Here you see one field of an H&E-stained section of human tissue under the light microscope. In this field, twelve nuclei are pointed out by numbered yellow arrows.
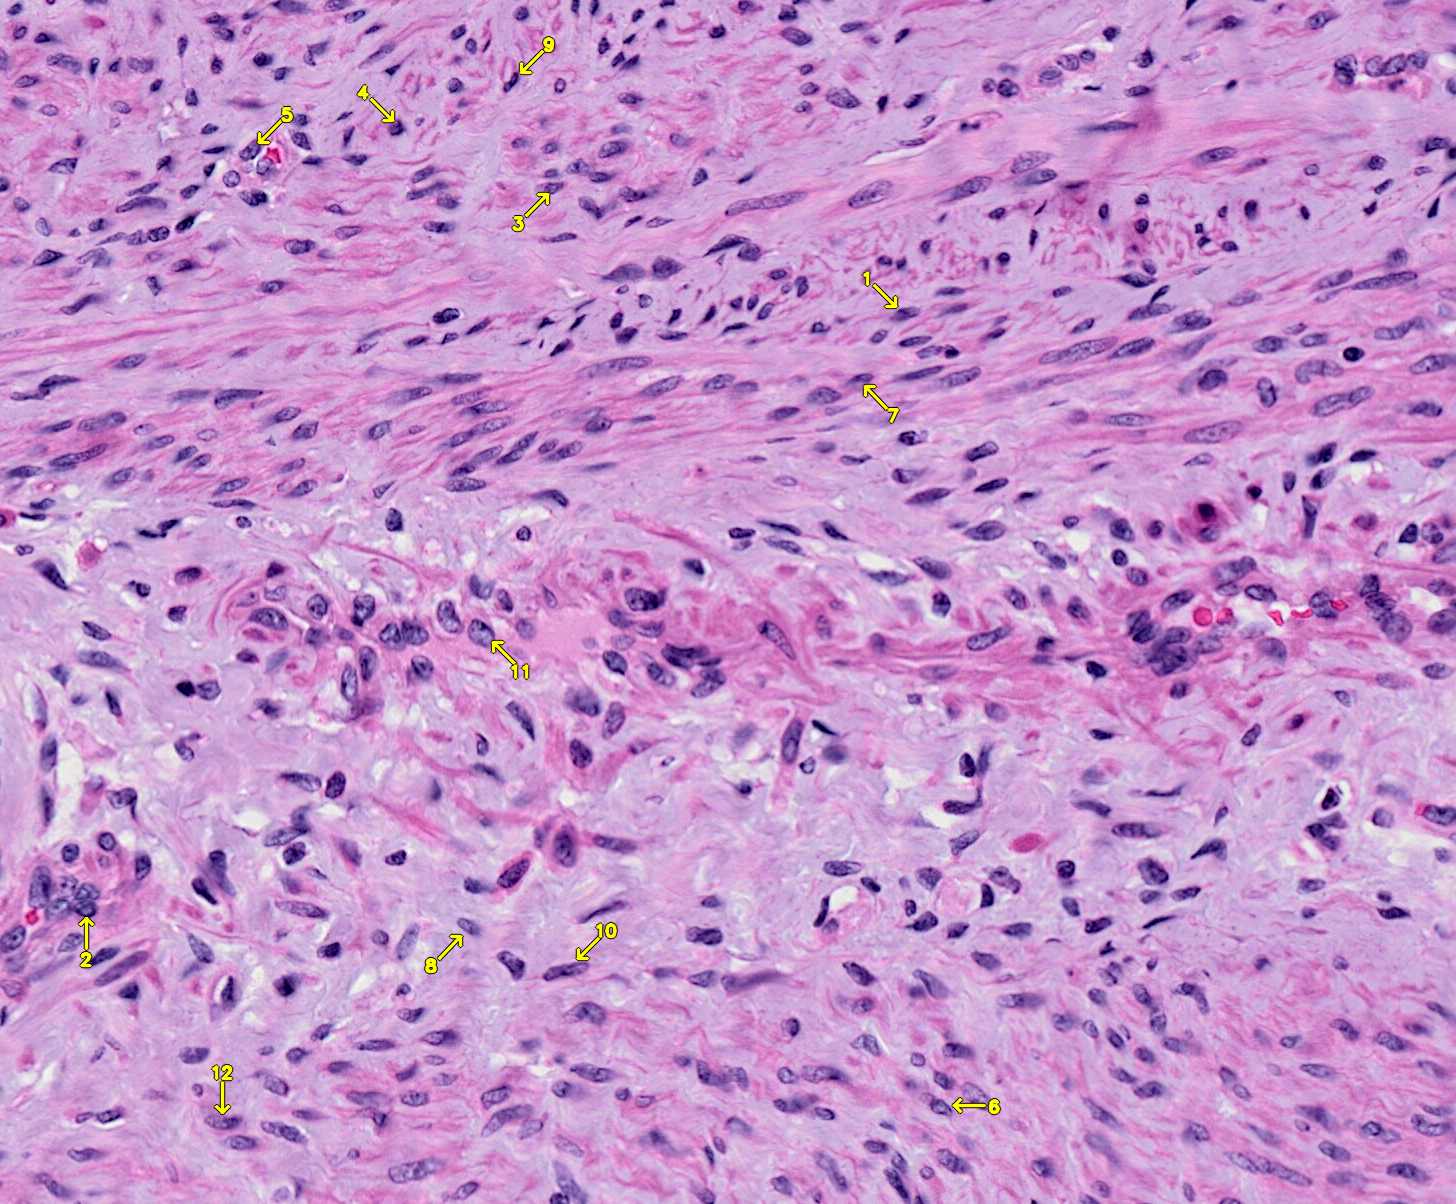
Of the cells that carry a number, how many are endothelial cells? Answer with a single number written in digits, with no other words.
3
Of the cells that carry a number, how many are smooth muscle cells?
7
